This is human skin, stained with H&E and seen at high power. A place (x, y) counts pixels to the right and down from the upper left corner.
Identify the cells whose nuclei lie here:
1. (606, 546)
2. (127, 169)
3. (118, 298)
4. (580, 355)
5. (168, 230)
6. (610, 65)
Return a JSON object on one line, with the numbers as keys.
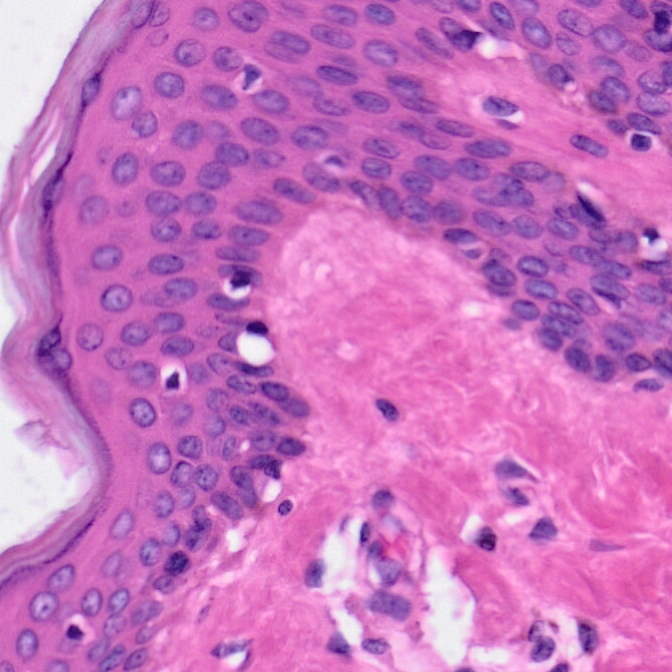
{"1": "fibroblast", "2": "suprabasal keratinocyte", "3": "suprabasal keratinocyte", "4": "basal keratinocyte", "5": "suprabasal keratinocyte", "6": "suprabasal keratinocyte"}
